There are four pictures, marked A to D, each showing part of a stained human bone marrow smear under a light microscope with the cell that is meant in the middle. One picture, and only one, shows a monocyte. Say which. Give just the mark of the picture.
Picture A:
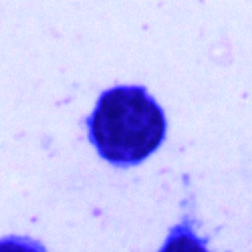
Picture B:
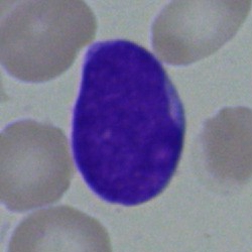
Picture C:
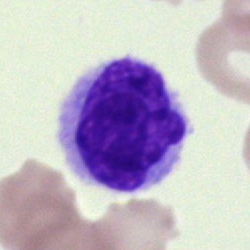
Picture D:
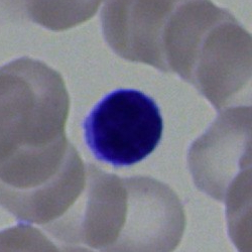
C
